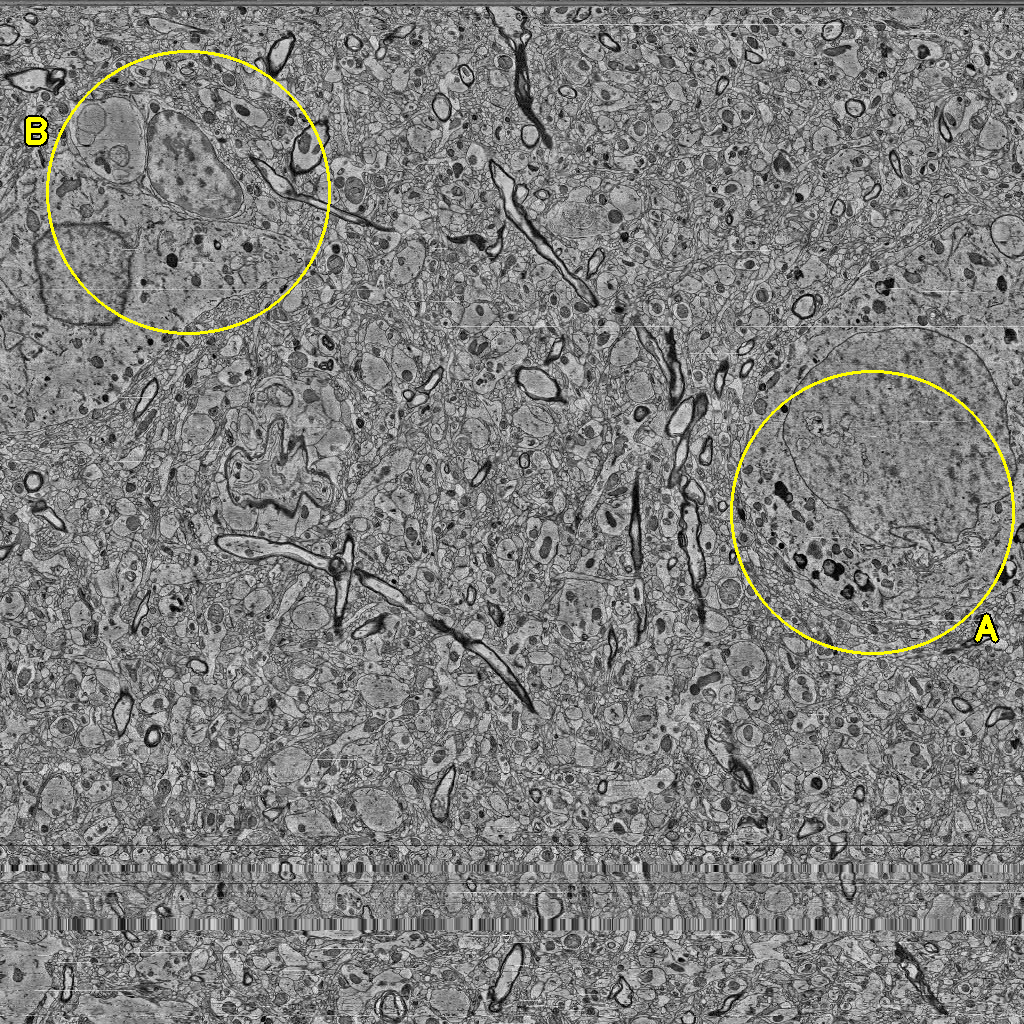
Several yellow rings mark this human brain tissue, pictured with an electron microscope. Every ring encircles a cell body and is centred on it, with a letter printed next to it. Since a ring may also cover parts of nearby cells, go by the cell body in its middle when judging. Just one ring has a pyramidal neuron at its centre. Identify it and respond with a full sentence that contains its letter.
The answer is ring A, whose centre rests on the cell asked for.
